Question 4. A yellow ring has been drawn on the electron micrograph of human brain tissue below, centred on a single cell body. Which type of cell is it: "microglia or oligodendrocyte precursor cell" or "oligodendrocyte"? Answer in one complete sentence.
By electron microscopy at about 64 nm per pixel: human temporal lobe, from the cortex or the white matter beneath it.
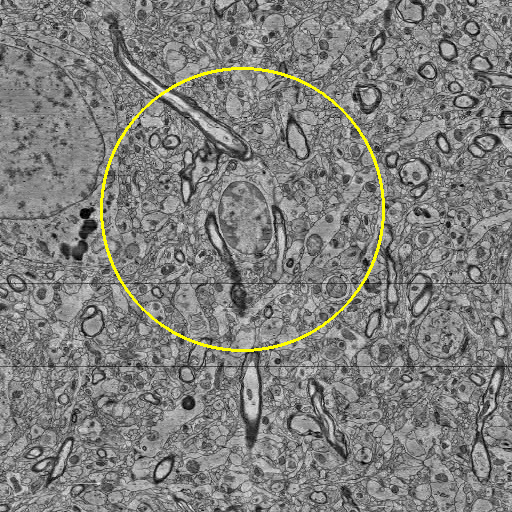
This cell body belongs to a microglial cell or oligodendrocyte precursor cell.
